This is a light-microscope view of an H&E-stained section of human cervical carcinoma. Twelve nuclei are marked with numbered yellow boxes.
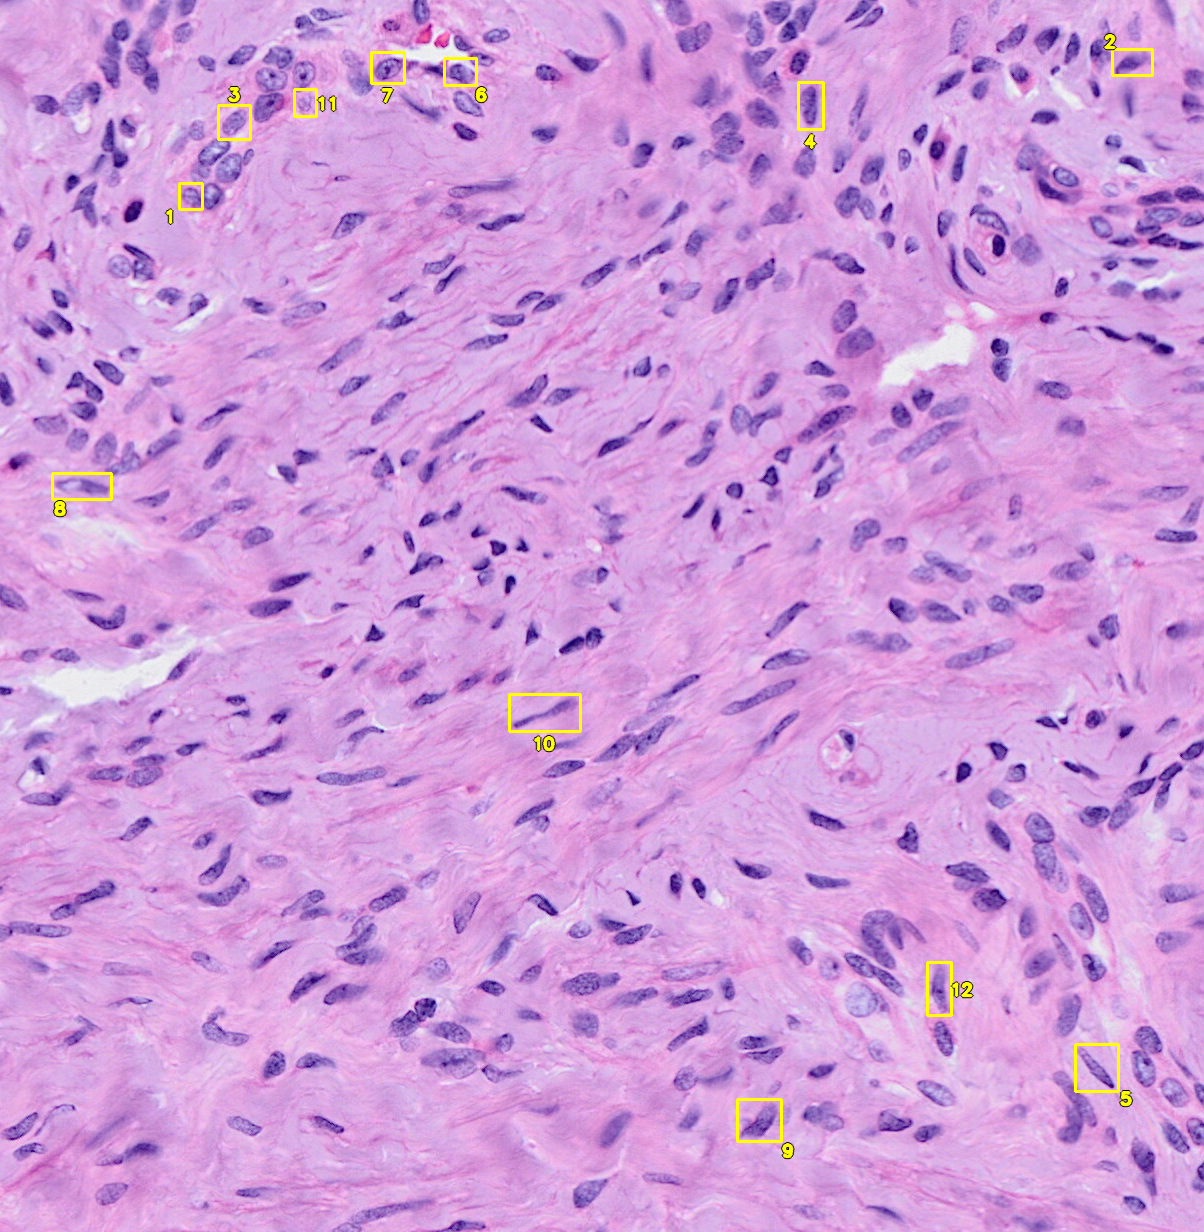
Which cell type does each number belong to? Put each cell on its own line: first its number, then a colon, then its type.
1: endothelial cell
2: fibroblast
3: endothelial cell
4: fibroblast
5: fibroblast
6: endothelial cell
7: endothelial cell
8: fibroblast
9: fibroblast
10: fibroblast
11: endothelial cell
12: fibroblast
